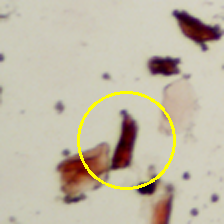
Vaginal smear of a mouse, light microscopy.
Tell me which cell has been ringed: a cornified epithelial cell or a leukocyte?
It is a cornified epithelial cell.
